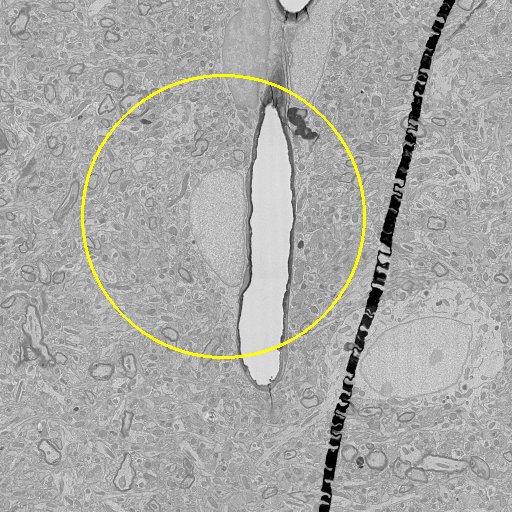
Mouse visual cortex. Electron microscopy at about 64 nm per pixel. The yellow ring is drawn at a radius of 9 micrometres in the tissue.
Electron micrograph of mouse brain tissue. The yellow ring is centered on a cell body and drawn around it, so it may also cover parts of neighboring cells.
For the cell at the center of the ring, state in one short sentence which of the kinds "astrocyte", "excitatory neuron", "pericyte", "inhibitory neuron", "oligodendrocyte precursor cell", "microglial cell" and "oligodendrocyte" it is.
This ring is centered on an astrocyte.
